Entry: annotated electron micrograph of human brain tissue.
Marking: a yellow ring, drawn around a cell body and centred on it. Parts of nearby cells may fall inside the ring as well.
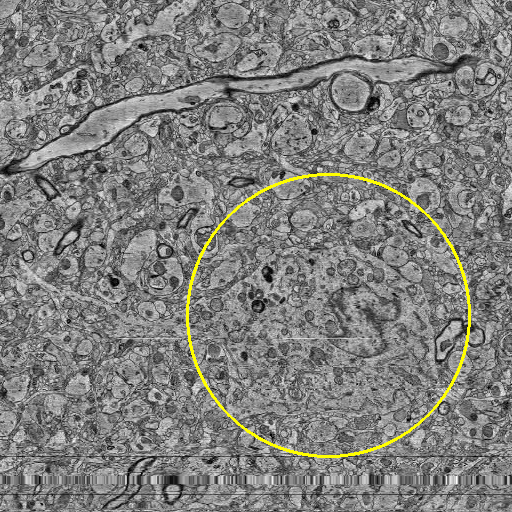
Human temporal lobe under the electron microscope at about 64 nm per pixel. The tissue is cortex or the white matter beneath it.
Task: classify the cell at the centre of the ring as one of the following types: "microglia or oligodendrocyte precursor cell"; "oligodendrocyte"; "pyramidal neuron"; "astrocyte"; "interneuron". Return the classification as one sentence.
The marked cell is classified as an interneuron.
